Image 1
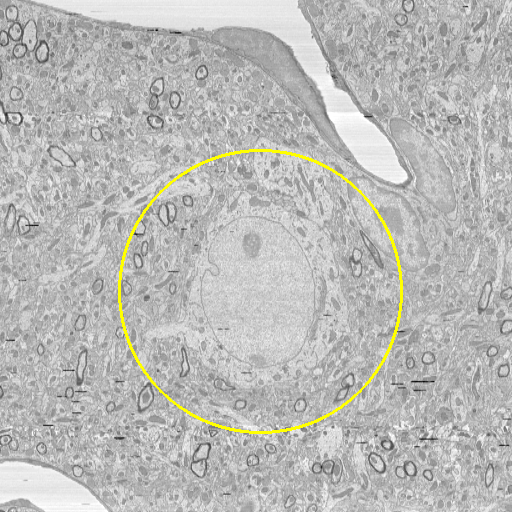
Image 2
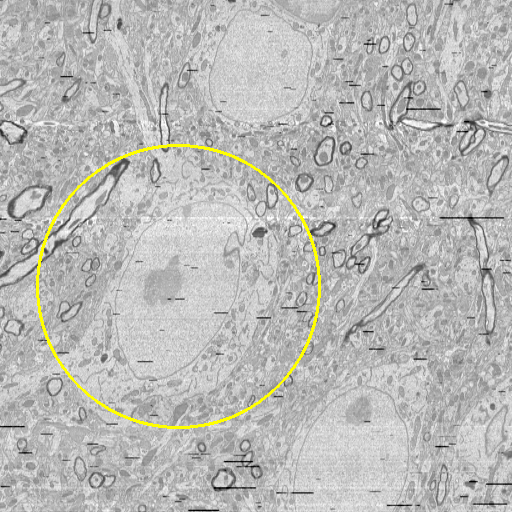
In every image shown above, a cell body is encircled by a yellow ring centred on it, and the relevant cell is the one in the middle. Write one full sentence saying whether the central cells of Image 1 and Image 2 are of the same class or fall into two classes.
The cell at the ring's centre in Image 1 and its counterpart in Image 2 are of the same class.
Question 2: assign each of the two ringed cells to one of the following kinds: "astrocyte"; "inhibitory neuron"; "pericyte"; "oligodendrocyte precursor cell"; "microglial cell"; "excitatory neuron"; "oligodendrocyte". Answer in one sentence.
In both pictures the ring is centred on an excitatory neuron.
